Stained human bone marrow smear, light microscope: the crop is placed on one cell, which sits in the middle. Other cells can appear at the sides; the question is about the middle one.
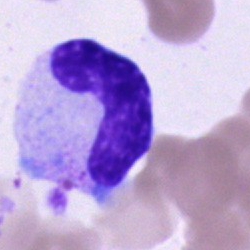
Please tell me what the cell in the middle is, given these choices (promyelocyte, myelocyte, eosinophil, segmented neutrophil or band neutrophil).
band neutrophil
